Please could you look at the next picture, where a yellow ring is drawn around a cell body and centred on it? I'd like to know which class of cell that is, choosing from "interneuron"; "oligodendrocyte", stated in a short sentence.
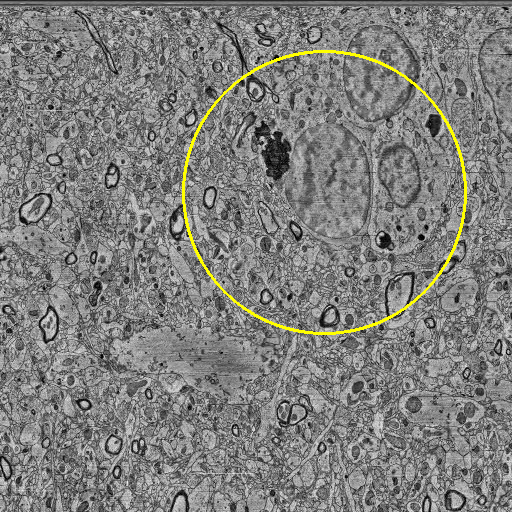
The ring's centre lies on an oligodendrocyte.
